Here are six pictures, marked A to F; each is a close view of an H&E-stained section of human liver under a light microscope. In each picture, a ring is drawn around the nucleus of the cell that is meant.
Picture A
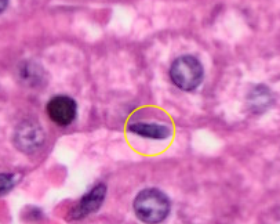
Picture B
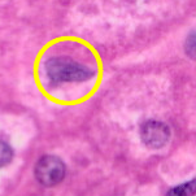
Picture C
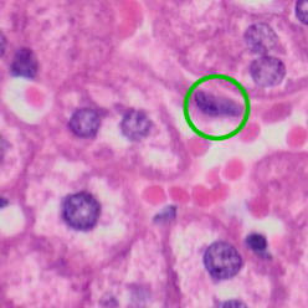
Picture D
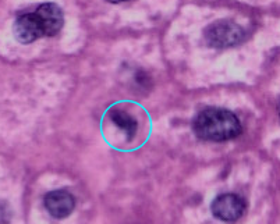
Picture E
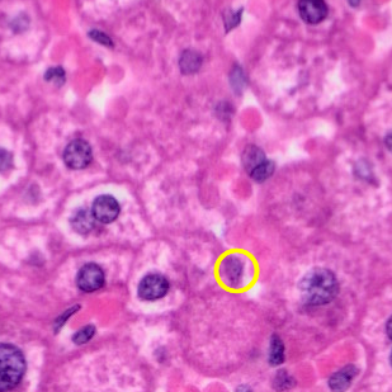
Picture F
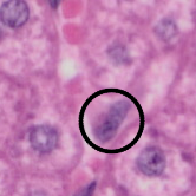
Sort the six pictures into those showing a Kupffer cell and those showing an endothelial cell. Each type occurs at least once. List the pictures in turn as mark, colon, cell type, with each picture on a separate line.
A: endothelial cell
B: Kupffer cell
C: Kupffer cell
D: endothelial cell
E: Kupffer cell
F: Kupffer cell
